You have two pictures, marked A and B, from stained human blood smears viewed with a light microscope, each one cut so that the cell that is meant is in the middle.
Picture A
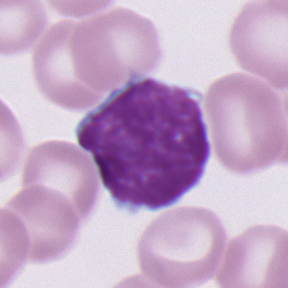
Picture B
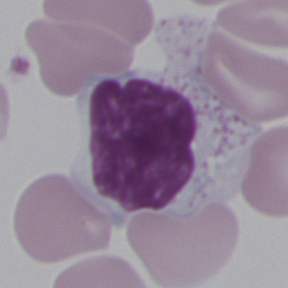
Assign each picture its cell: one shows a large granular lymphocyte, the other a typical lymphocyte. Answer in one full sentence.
Picture A shows a typical lymphocyte and picture B shows a large granular lymphocyte.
